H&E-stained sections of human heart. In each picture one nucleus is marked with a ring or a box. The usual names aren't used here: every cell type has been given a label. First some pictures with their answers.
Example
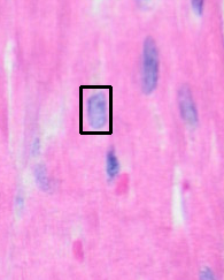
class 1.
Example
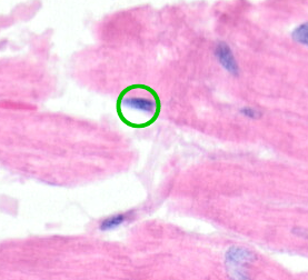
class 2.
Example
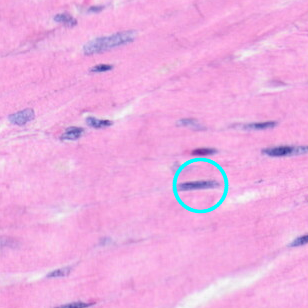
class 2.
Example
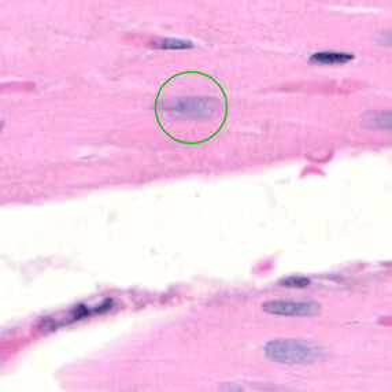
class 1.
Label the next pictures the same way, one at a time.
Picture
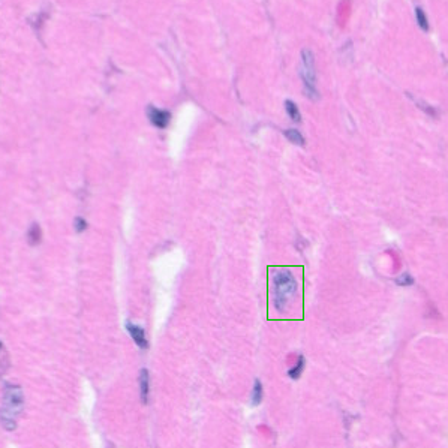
class 1.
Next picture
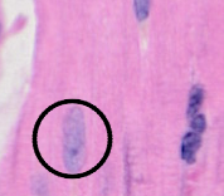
class 1.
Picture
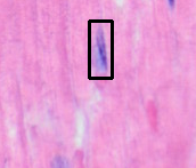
class 2.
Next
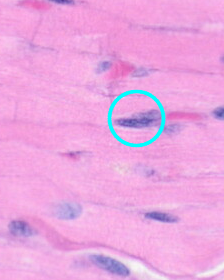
class 2.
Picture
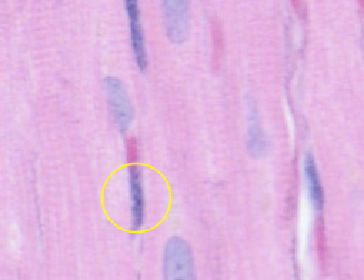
class 2.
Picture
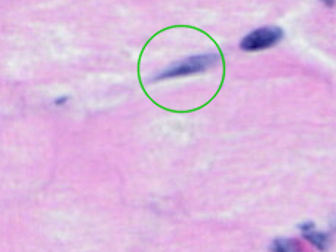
class 2.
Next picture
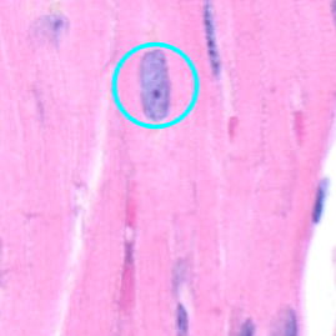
class 1.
